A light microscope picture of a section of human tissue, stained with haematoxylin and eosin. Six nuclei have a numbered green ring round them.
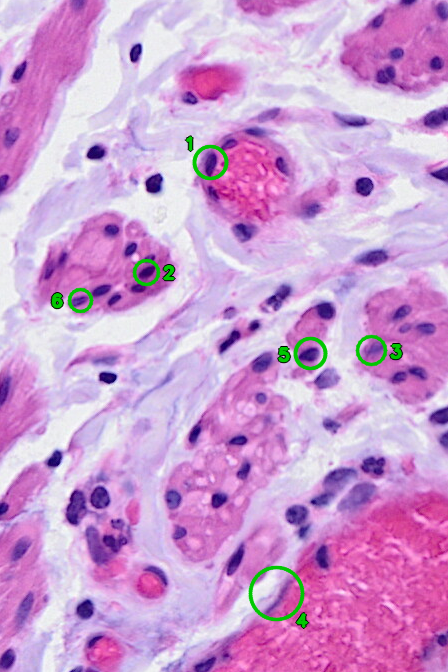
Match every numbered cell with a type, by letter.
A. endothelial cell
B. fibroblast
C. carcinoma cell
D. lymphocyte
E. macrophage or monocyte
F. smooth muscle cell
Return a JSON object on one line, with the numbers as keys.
{"1": "A", "2": "F", "3": "F", "4": "A", "5": "F", "6": "F"}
